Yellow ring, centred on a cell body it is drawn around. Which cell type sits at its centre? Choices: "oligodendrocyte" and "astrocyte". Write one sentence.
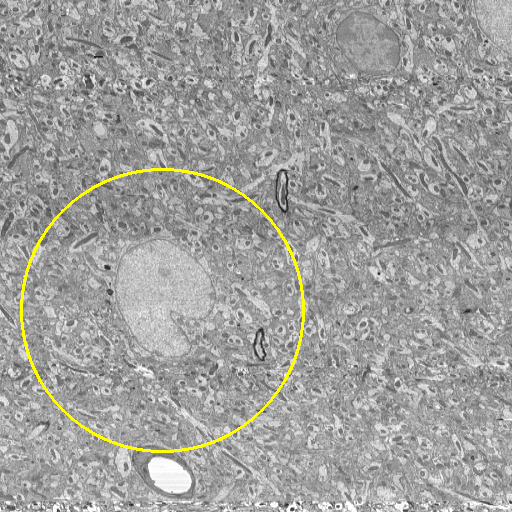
At the centre of the ring sits an astrocyte.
